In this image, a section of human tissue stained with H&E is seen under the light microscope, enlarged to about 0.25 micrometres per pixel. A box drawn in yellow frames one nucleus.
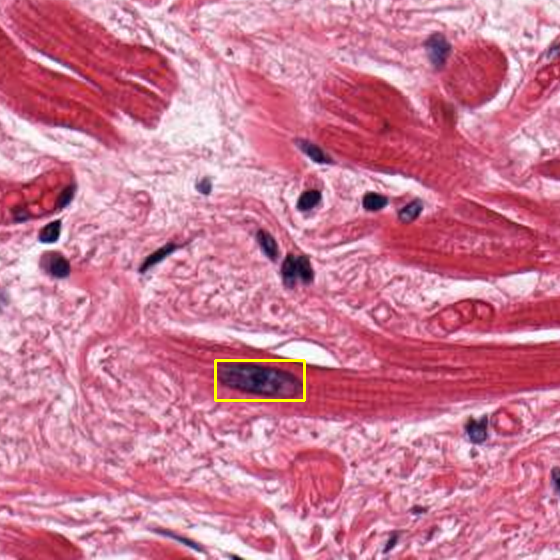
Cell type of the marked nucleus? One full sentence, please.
The marked nucleus is recognized as the nucleus of a cardiomyocyte.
